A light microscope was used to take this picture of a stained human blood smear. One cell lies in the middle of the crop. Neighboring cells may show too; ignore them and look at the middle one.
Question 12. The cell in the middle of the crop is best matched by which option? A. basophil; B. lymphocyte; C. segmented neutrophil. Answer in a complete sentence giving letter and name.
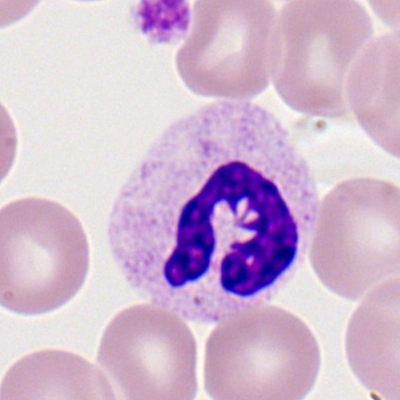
Option C correctly states that the central cell is a segmented neutrophil.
